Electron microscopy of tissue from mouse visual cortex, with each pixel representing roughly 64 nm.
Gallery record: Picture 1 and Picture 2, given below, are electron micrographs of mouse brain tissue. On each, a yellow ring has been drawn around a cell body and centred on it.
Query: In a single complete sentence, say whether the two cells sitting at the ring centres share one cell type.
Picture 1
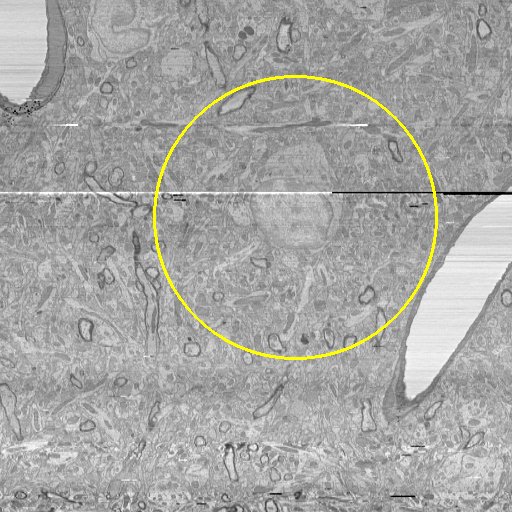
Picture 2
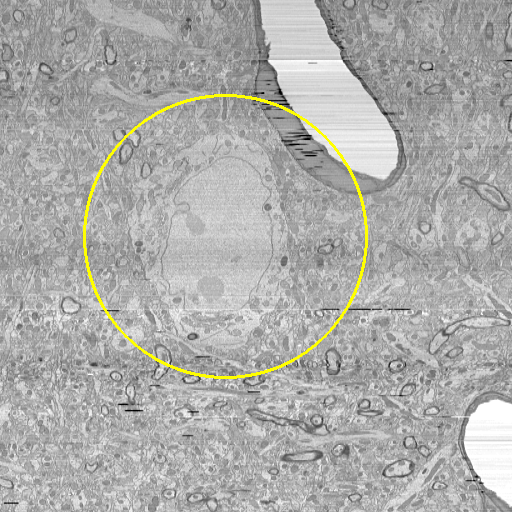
No, in the two pictures the cells at the rings' centres are of two separate types.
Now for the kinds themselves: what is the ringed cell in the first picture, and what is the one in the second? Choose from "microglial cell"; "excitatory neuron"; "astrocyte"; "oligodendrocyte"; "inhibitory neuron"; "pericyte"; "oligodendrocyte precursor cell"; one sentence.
Here the first cell is an oligodendrocyte and the second cell is an excitatory neuron.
